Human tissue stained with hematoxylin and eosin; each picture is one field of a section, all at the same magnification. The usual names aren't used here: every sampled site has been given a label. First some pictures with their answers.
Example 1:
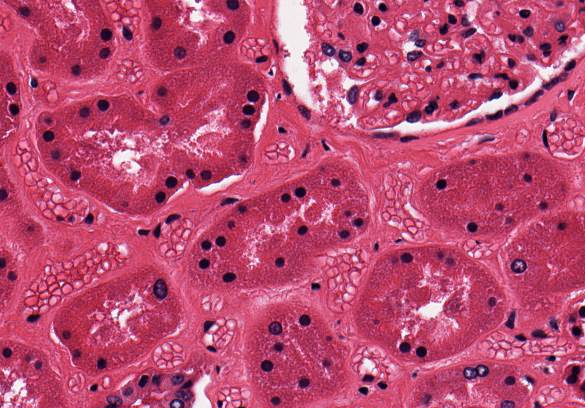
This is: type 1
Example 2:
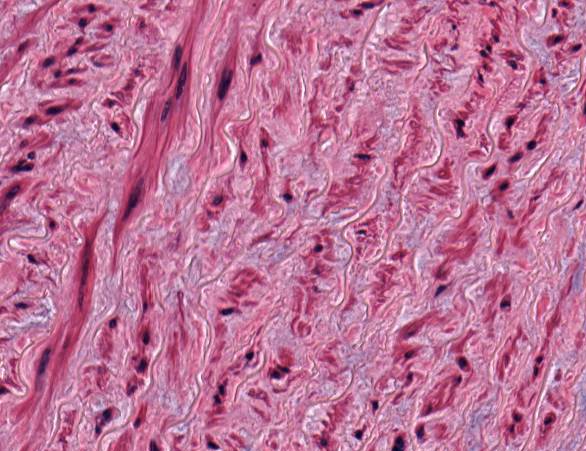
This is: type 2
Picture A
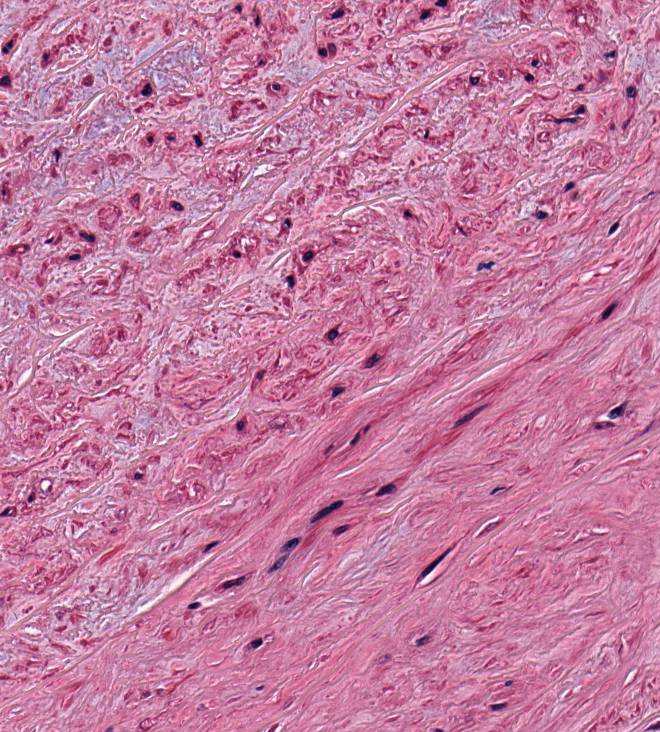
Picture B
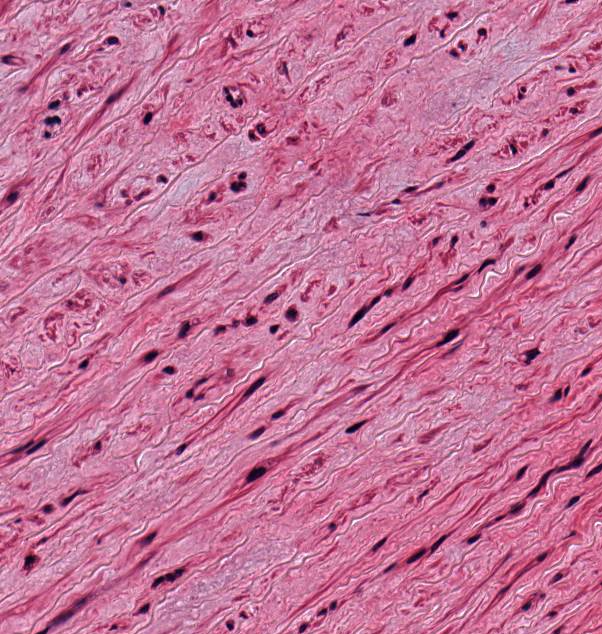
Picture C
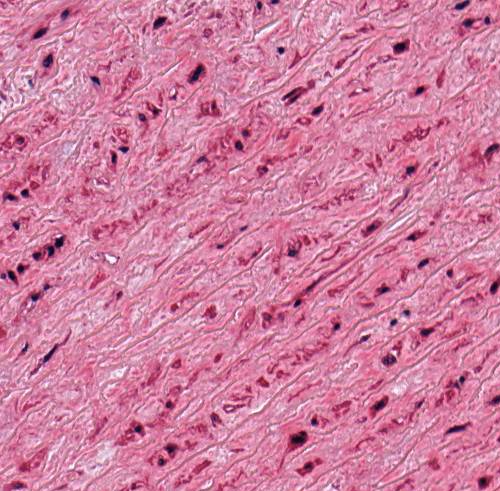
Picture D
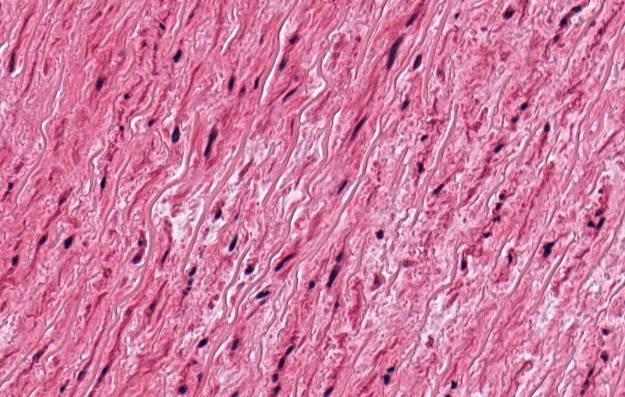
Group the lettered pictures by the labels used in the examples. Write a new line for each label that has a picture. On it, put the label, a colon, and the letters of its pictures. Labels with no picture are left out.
type 2: A, B, C, D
